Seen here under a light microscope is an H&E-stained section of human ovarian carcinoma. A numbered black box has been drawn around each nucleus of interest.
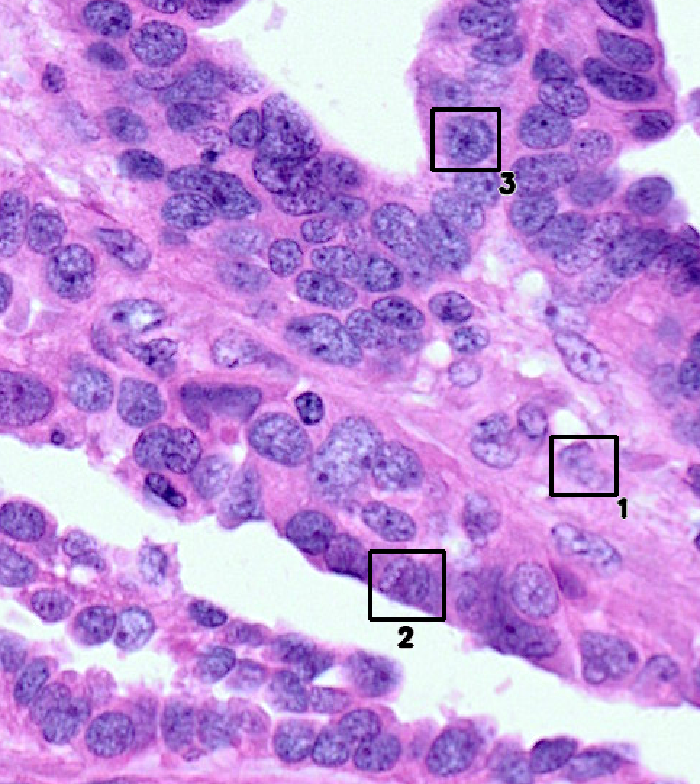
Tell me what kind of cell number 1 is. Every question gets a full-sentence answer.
In this section, the cell tagged 1 is a fibroblast.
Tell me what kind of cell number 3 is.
Identified by the number 3, the cell is a carcinoma cell.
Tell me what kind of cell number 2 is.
The correct answer for cell 2 is a carcinoma cell.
